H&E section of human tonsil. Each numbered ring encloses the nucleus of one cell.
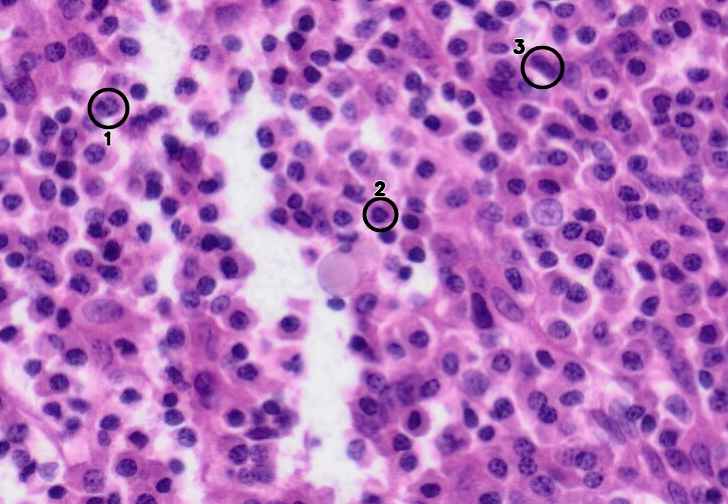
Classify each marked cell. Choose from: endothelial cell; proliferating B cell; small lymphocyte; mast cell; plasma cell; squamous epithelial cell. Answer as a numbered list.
1. plasma cell
2. plasma cell
3. squamous epithelial cell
